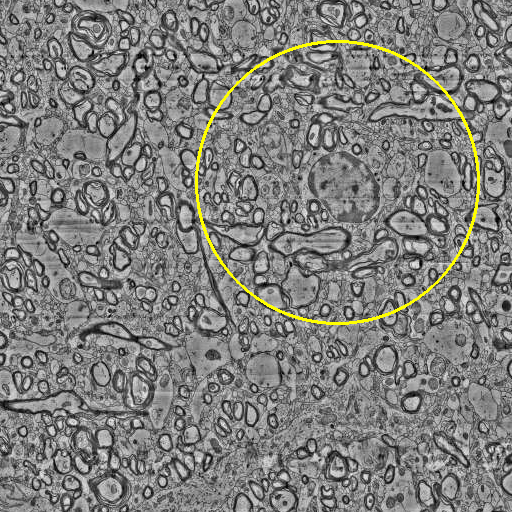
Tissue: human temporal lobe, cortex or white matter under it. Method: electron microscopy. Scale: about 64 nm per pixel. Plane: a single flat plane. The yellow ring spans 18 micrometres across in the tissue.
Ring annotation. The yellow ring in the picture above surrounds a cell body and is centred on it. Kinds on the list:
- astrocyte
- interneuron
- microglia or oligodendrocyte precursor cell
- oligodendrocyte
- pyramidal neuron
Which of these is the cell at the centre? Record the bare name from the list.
microglia or oligodendrocyte precursor cell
